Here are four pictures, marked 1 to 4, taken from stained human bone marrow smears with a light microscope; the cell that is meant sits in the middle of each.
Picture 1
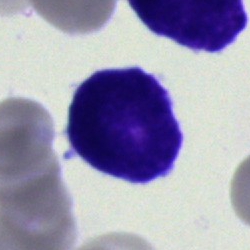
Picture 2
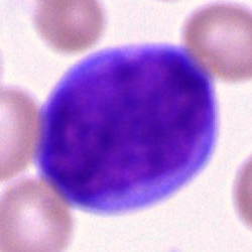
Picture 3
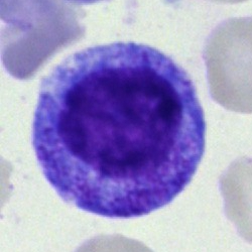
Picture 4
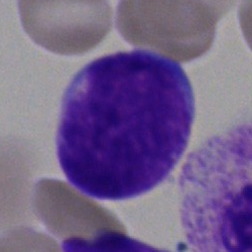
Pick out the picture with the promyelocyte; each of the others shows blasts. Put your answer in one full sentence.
The promyelocyte is the one in picture 3.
